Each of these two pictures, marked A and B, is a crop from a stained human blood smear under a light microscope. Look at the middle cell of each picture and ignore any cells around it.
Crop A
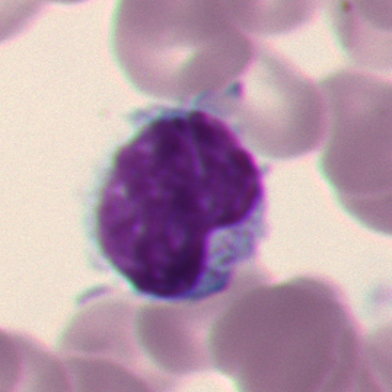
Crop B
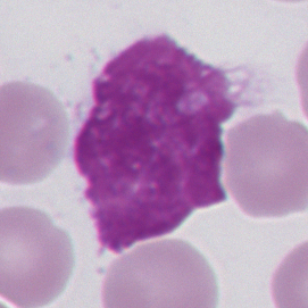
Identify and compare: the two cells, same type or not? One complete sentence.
No, just to correct that: crop A shows a typical lymphocyte, crop B shows a smudge cell.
